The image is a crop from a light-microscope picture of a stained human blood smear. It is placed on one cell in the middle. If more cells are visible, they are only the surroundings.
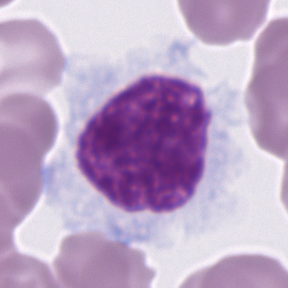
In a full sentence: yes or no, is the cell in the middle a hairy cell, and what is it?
Yes, the identity of the central cell is that of a hairy cell.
